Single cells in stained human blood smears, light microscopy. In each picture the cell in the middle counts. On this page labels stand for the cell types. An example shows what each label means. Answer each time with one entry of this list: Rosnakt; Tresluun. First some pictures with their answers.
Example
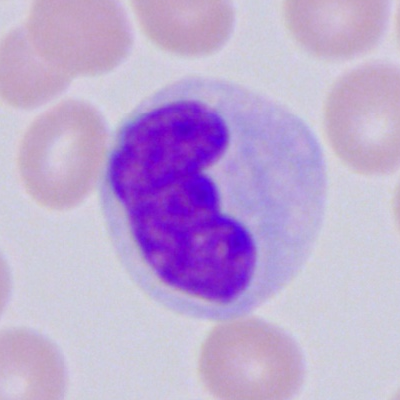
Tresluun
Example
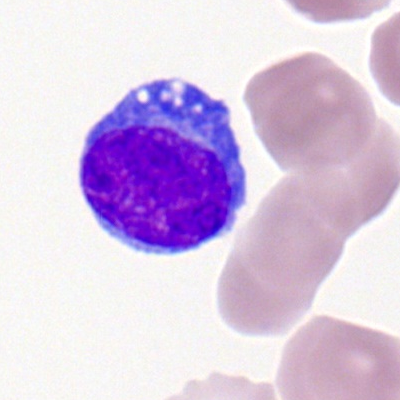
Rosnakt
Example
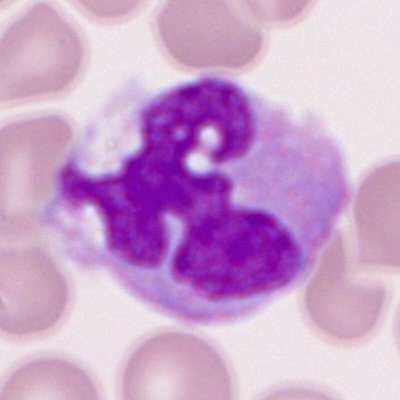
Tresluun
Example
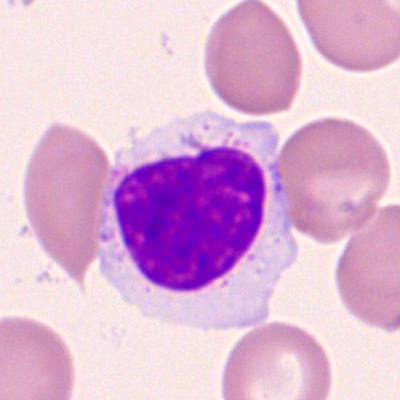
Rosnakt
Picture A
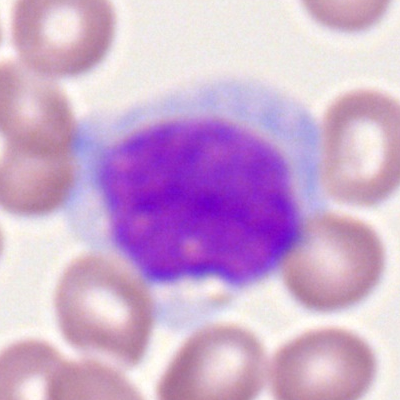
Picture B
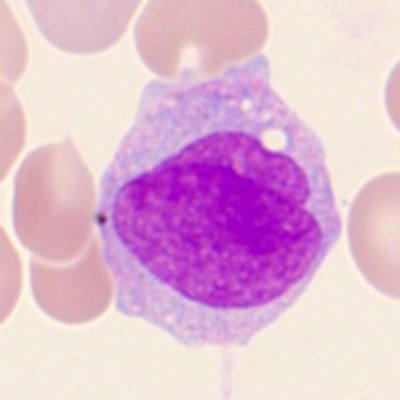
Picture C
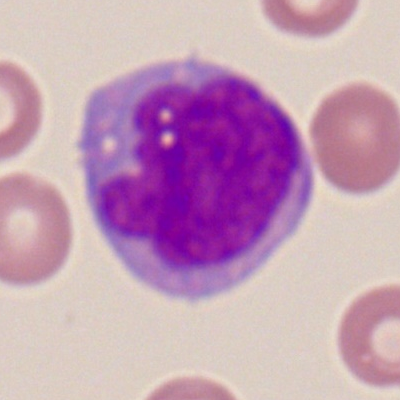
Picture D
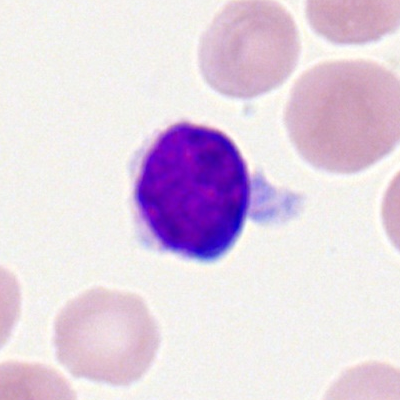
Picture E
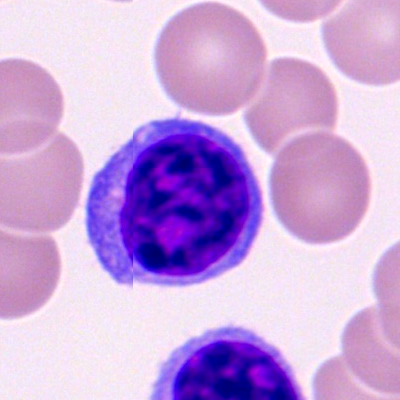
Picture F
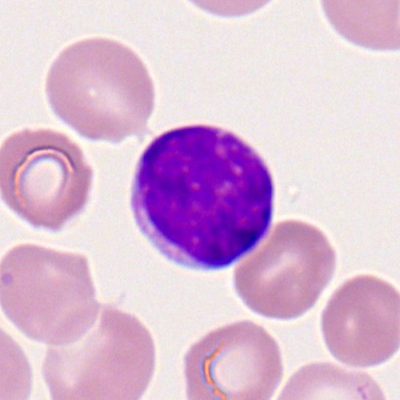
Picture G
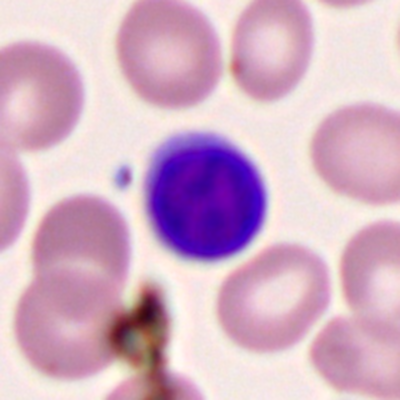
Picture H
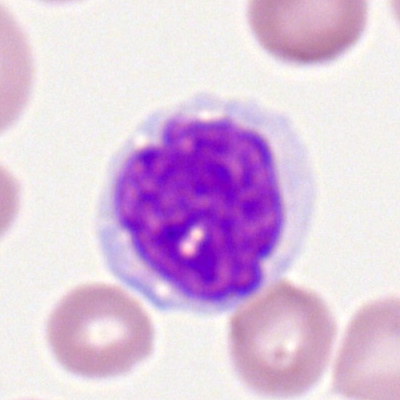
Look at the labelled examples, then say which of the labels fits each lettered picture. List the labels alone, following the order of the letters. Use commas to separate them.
Tresluun, Tresluun, Tresluun, Rosnakt, Rosnakt, Rosnakt, Rosnakt, Tresluun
